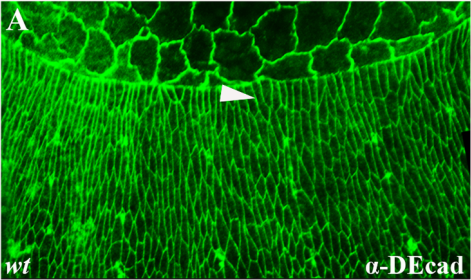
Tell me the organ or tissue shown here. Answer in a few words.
lateral epidermis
